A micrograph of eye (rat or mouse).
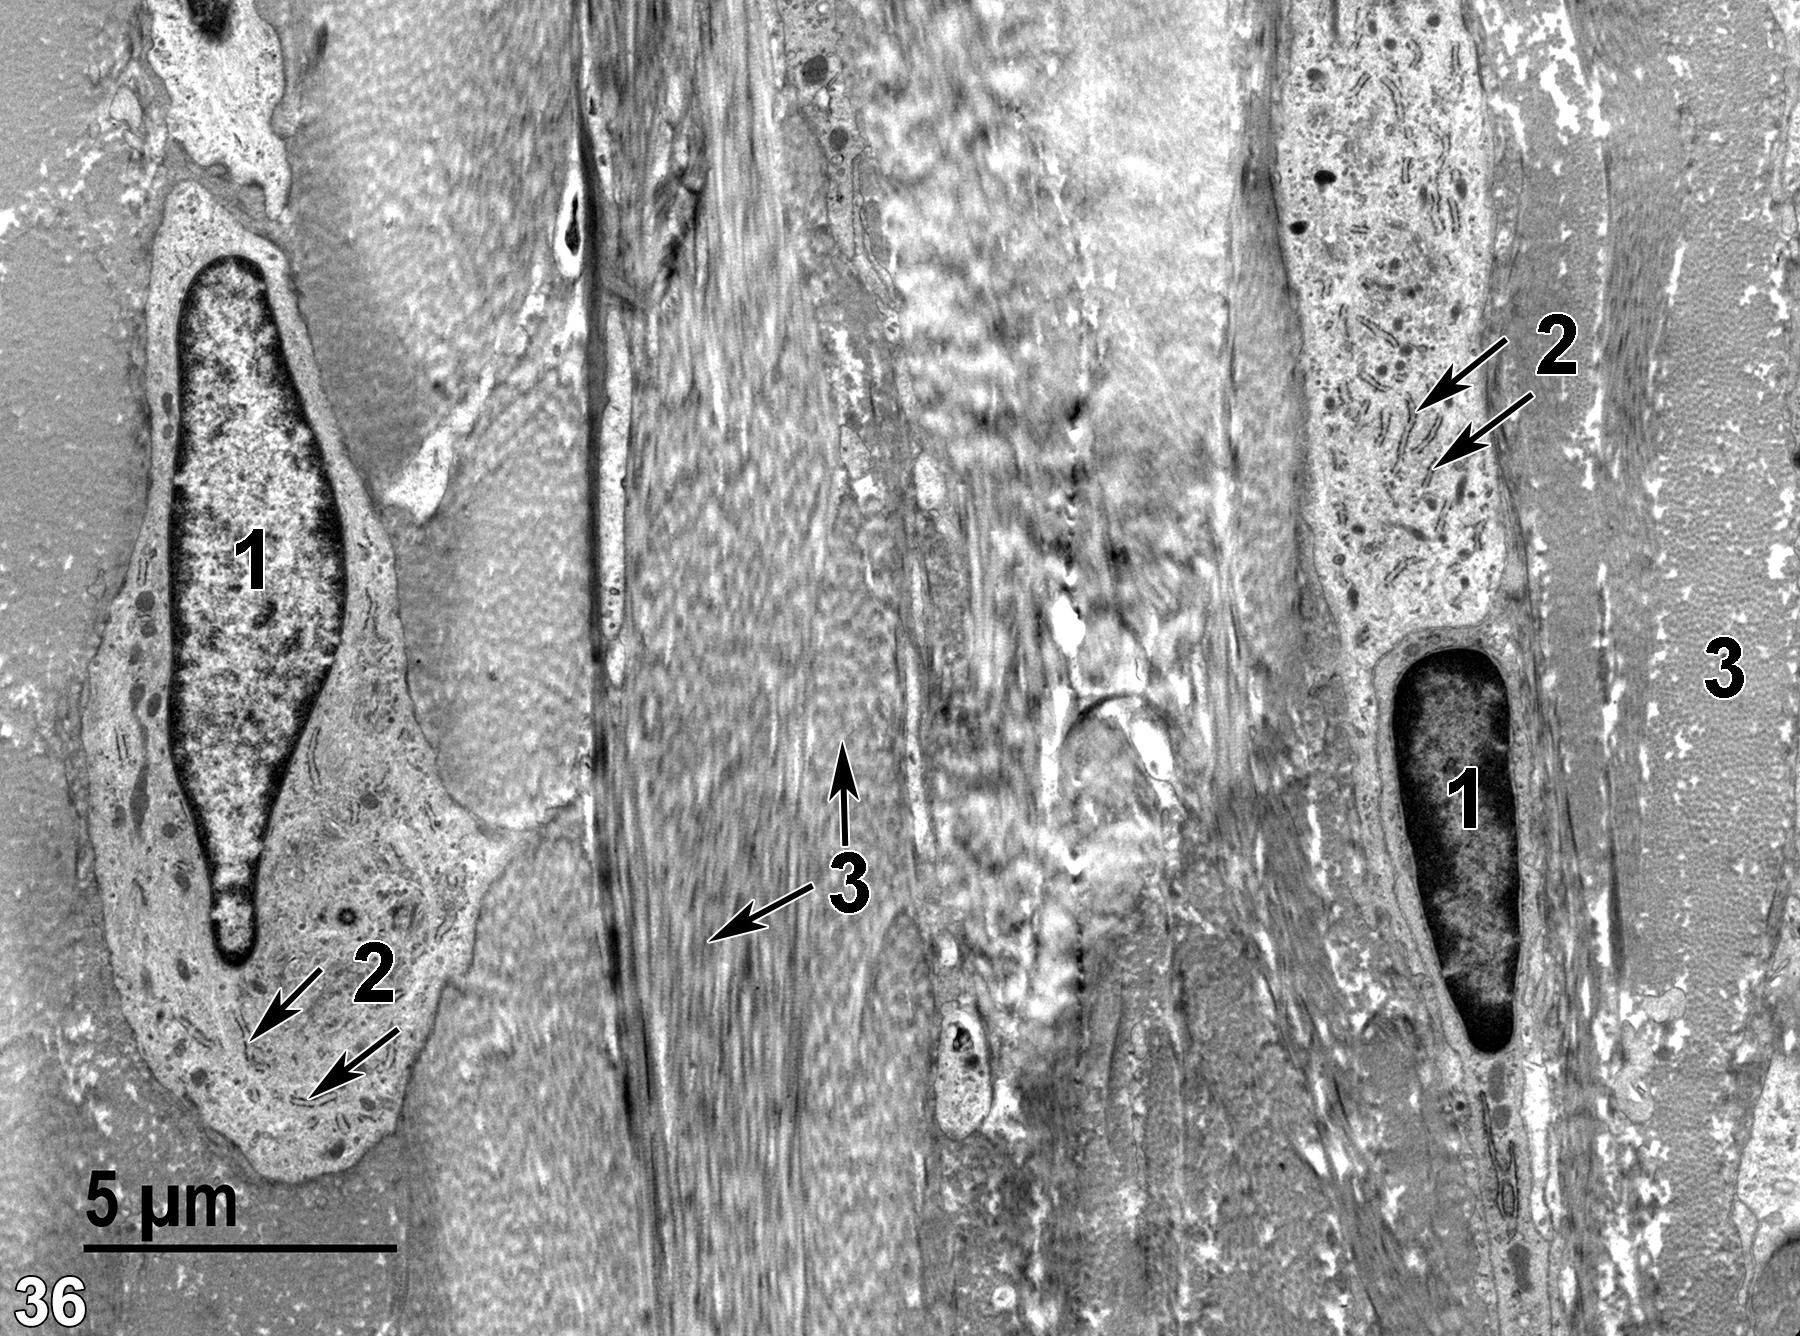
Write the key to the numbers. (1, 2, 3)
1. fibroblasts
2. rough endoplasmic reticulum
3. bundles of collagen fibrils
